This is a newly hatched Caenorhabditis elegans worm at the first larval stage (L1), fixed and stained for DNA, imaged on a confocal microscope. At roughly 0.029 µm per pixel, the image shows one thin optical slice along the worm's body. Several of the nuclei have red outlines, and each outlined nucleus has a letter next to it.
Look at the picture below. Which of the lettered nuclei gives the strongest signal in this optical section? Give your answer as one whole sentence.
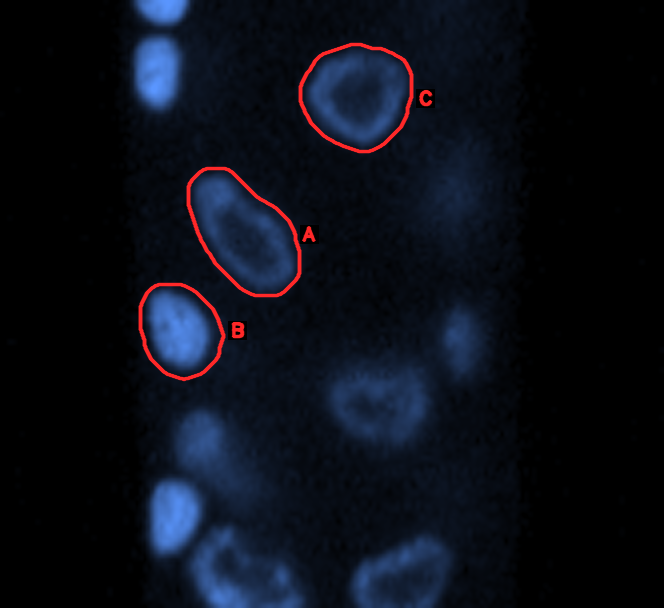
B is stained most strongly in this section.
